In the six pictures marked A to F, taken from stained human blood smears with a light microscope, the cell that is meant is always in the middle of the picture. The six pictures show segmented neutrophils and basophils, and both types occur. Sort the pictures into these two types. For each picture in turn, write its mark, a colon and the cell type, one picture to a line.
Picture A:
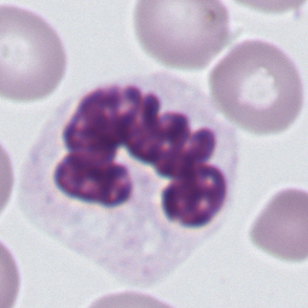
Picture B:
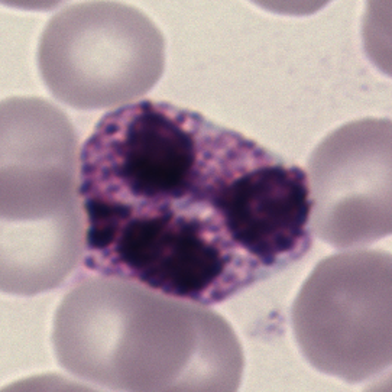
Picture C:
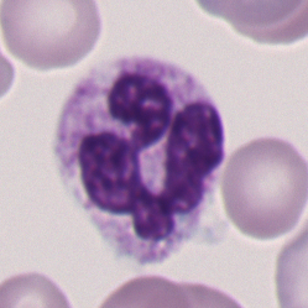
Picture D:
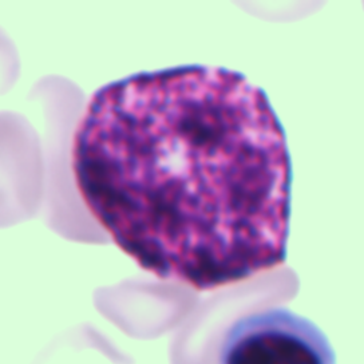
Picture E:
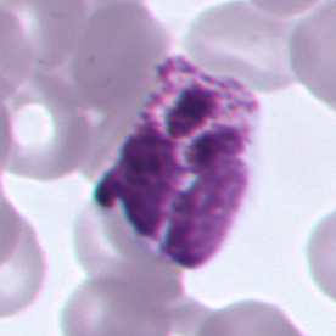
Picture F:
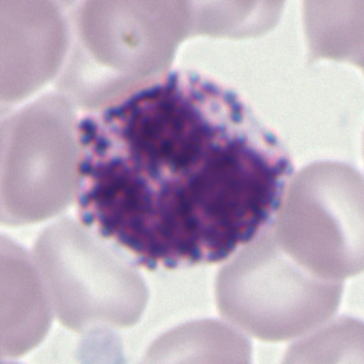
A: segmented neutrophil
B: basophil
C: segmented neutrophil
D: basophil
E: basophil
F: basophil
